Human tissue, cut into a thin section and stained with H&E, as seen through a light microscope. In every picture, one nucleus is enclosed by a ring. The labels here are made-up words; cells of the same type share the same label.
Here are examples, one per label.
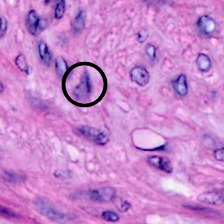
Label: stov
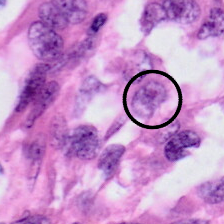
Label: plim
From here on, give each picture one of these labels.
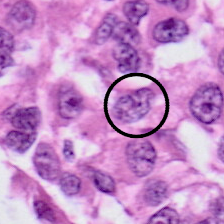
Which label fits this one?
plim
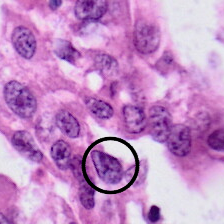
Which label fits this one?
plim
